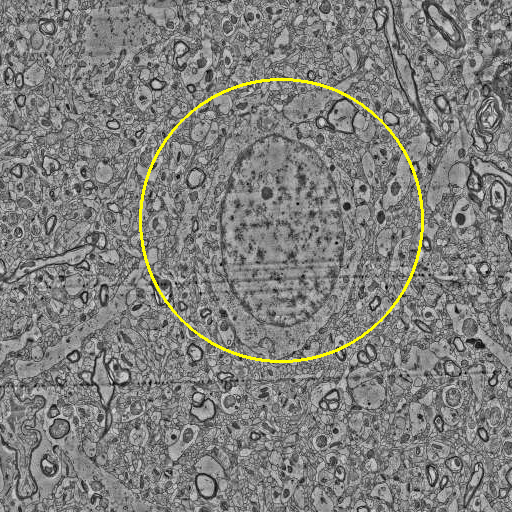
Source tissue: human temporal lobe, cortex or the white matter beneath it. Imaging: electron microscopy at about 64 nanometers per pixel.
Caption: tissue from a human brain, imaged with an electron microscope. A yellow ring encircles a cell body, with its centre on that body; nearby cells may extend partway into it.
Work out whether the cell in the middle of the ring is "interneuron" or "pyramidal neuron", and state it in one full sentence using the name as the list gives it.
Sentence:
In the picture, the cell that the yellow ring surrounds at its centre is an interneuron.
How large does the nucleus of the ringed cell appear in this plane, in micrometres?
At approximately 12 by 8 micrometres, the nucleus is clearly longer than it is wide in this plane.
